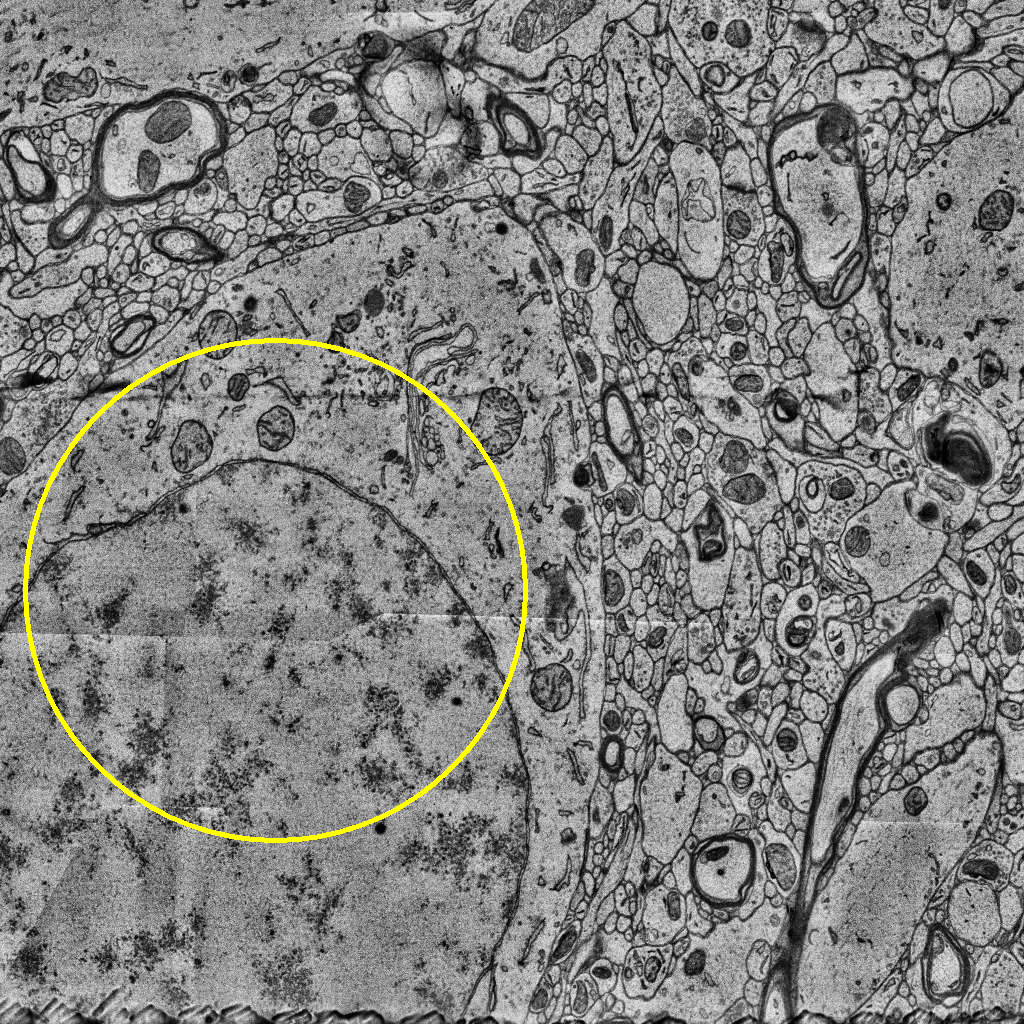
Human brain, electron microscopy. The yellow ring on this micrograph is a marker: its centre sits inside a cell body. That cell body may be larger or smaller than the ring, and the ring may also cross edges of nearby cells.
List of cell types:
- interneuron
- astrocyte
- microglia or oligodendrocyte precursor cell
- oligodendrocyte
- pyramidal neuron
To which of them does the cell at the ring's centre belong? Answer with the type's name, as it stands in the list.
pyramidal neuron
